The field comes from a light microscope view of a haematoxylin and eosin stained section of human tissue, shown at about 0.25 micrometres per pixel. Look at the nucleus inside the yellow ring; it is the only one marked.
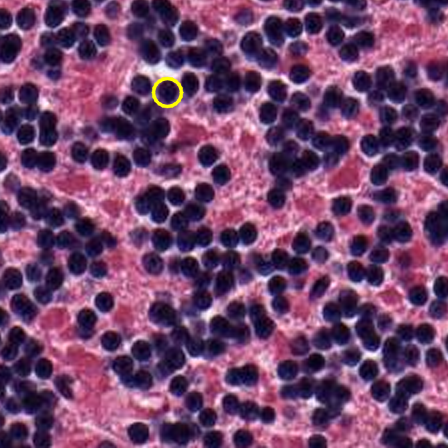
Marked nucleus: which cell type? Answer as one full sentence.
The marked nucleus is identified as belonging to a cerebellar granule cell.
